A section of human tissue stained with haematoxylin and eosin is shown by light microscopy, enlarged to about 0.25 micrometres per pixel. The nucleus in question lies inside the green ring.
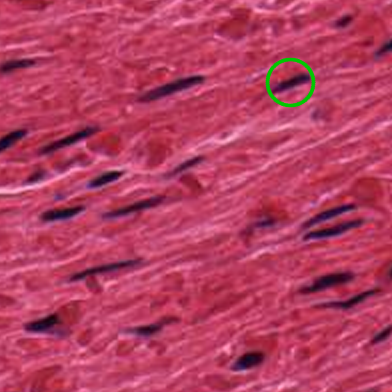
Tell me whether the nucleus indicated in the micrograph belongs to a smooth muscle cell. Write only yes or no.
yes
